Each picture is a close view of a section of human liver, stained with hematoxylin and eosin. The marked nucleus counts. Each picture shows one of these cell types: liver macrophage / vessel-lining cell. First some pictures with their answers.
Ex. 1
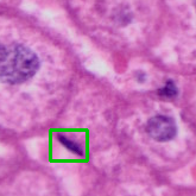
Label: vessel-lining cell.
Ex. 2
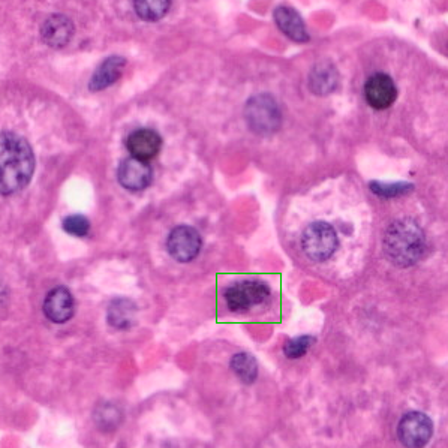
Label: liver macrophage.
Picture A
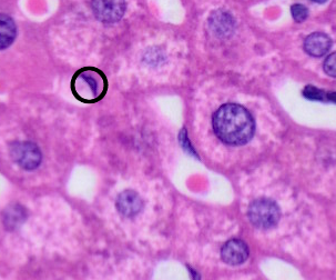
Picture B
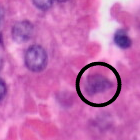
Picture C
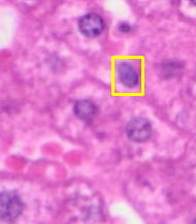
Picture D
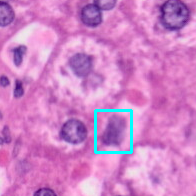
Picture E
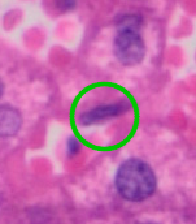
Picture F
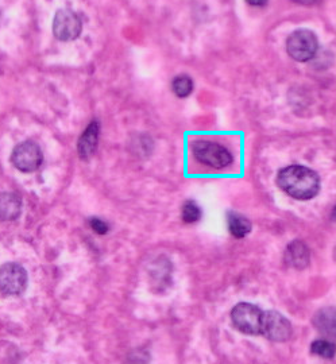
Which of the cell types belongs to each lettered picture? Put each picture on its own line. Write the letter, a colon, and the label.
A: vessel-lining cell.
B: vessel-lining cell.
C: liver macrophage.
D: vessel-lining cell.
E: liver macrophage.
F: liver macrophage.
